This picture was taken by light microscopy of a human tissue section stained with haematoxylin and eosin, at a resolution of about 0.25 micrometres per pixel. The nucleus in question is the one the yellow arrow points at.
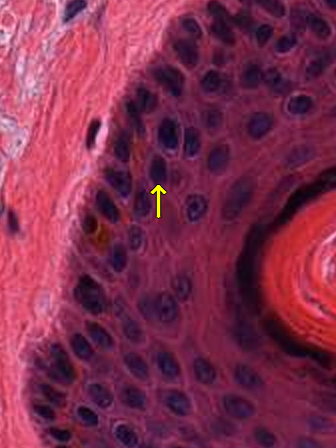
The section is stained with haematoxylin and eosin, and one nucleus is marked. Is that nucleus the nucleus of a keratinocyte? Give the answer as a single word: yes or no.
yes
